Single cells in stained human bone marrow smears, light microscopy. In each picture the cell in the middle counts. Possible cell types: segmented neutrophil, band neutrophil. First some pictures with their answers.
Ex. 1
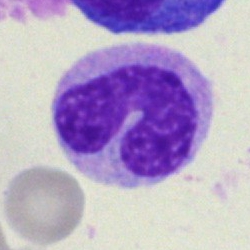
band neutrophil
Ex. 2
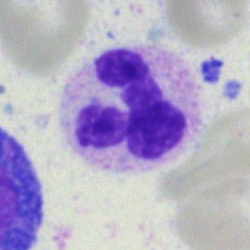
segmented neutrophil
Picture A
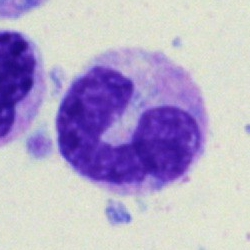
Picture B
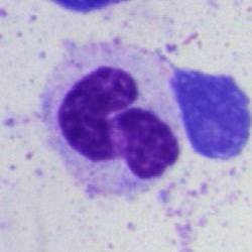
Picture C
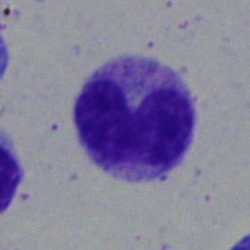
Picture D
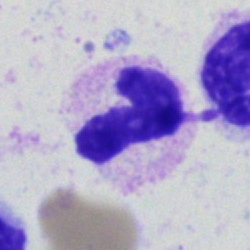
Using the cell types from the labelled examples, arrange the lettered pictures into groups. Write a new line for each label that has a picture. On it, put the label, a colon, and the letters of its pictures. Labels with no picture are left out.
segmented neutrophil: D
band neutrophil: A, B, C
